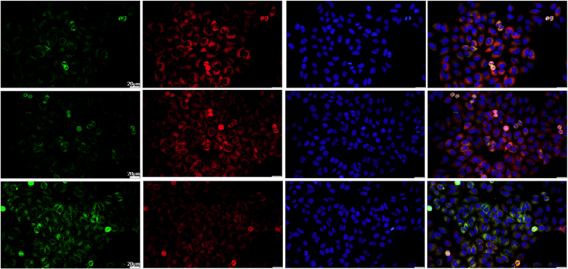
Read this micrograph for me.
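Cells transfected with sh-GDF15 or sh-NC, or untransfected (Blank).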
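In the blue images the nuclei are round to oval and packed closely side by side, with little space between neighbouring cells. In the merged images the green rims and red cytoplasm sit around the blue nuclei, and a few scattered cells are rounded and bright in several colours at once.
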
